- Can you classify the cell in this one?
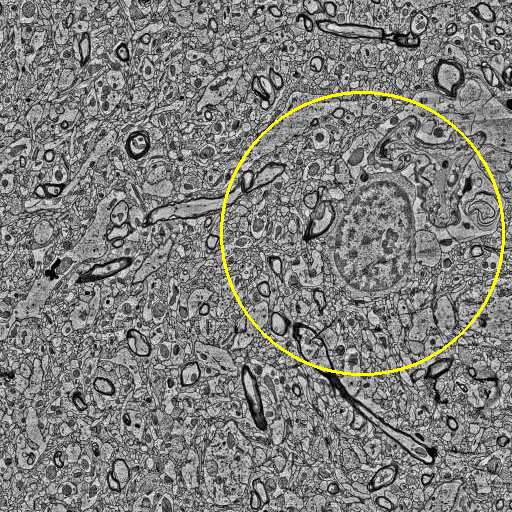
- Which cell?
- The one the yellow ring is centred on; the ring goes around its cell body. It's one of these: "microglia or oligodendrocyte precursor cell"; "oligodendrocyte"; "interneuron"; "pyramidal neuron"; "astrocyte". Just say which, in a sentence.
The cell body in the ring belongs to an oligodendrocyte.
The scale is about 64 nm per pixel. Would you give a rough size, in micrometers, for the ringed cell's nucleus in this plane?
The nucleus has a long axis of about 7 micrometres and a short axis of about 5 micrometres in this plane.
